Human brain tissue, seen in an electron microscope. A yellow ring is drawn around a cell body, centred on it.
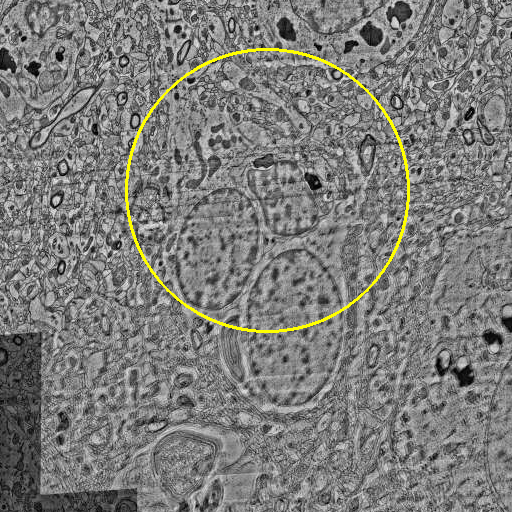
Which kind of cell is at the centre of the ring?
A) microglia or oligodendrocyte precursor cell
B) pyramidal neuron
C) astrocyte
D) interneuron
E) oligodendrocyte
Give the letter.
A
